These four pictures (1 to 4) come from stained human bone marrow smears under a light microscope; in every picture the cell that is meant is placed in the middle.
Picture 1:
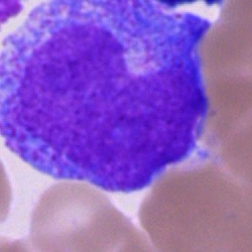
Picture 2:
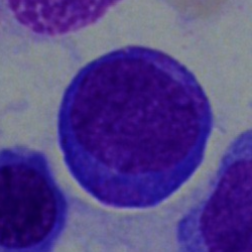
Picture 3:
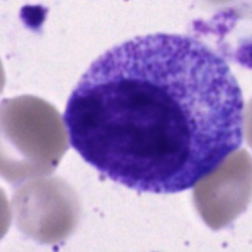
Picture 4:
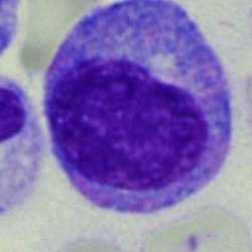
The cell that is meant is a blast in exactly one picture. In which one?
2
